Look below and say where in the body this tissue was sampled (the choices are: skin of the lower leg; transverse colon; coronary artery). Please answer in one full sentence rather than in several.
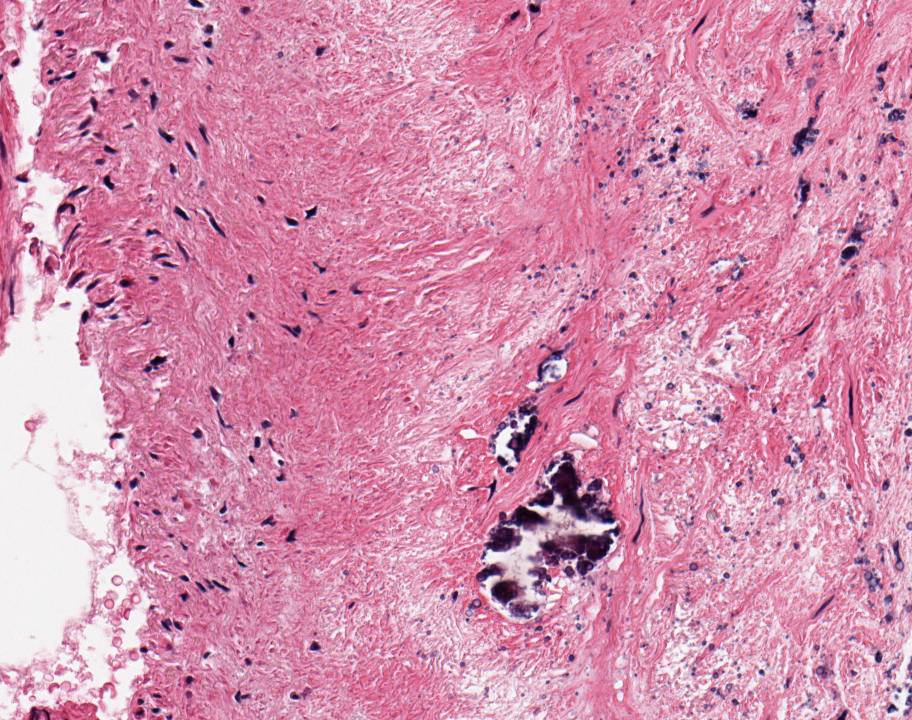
The origin of this tissue is the coronary artery.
